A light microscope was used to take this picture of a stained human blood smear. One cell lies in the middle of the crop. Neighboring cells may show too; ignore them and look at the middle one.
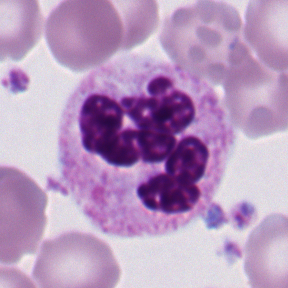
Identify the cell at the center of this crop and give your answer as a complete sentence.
In short, the cell at the center is a segmented neutrophil.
